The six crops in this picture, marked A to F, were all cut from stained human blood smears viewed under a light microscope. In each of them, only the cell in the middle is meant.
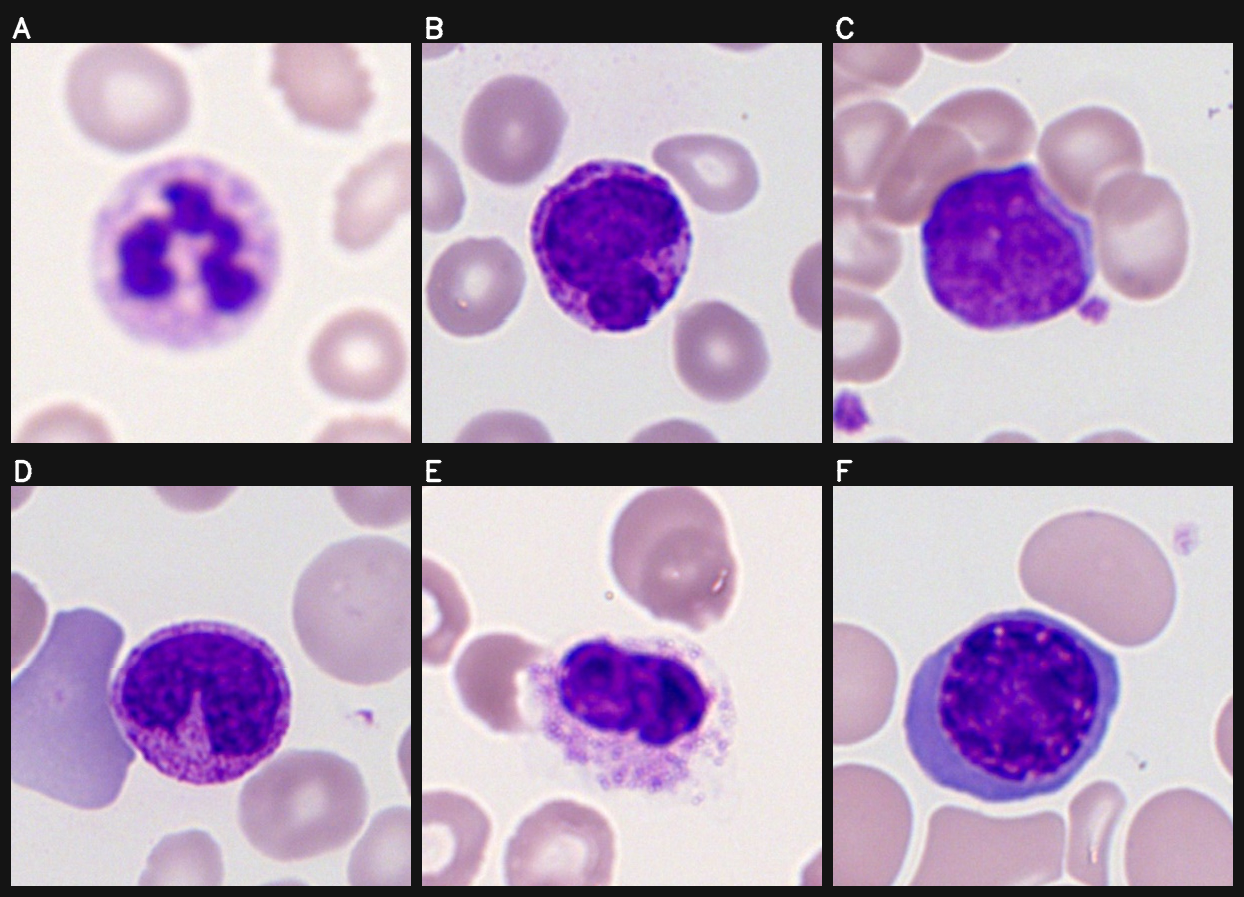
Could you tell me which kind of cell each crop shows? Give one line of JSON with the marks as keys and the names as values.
{"A": "segmented neutrophil", "B": "basophil", "C": "myeloblast", "D": "basophil", "E": "segmented neutrophil", "F": "erythroblast"}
